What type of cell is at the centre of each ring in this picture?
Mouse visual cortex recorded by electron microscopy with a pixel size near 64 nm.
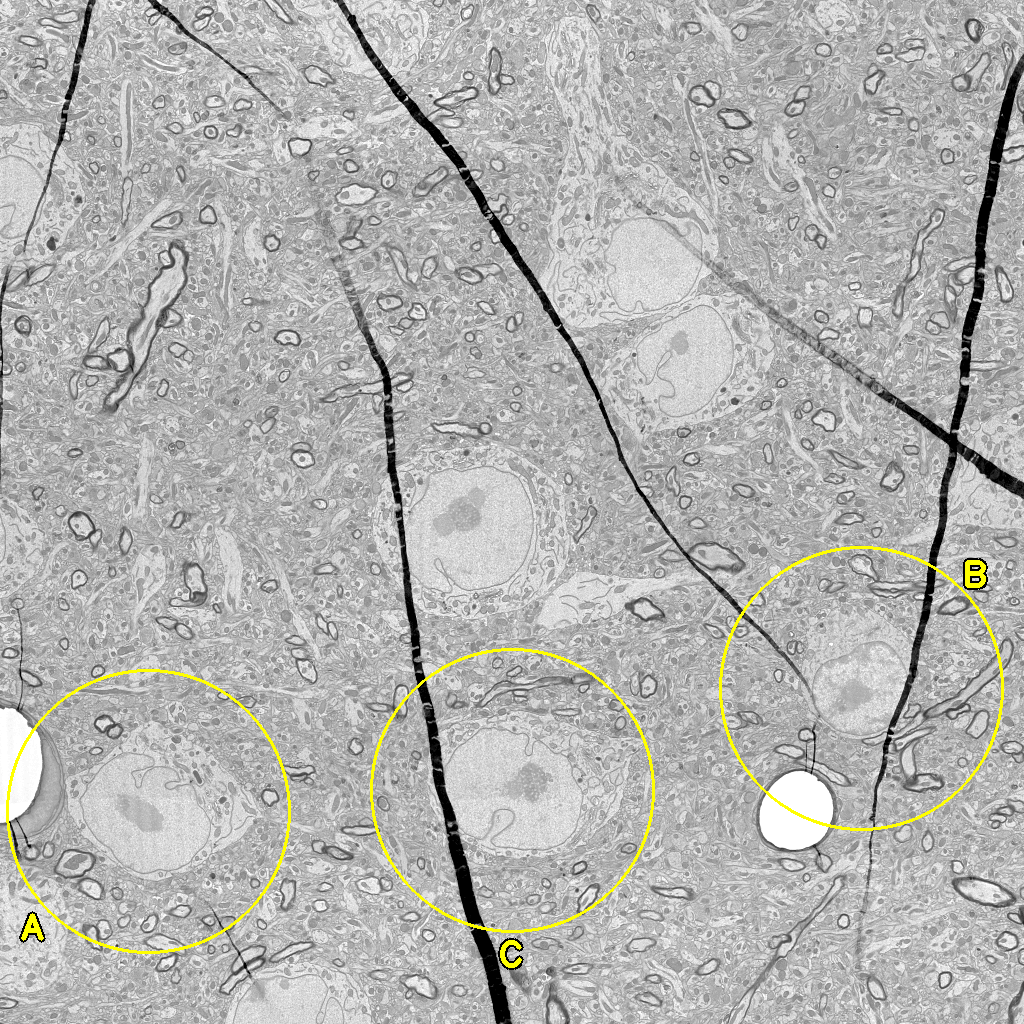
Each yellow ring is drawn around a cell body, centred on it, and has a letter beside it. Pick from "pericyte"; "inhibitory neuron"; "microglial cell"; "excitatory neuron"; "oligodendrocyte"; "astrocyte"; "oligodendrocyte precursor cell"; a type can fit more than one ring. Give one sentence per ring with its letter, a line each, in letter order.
The ring marked A is centred on an excitatory neuron.
The ring marked B is centred on an oligodendrocyte.
The ring marked C is centred on an inhibitory neuron.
